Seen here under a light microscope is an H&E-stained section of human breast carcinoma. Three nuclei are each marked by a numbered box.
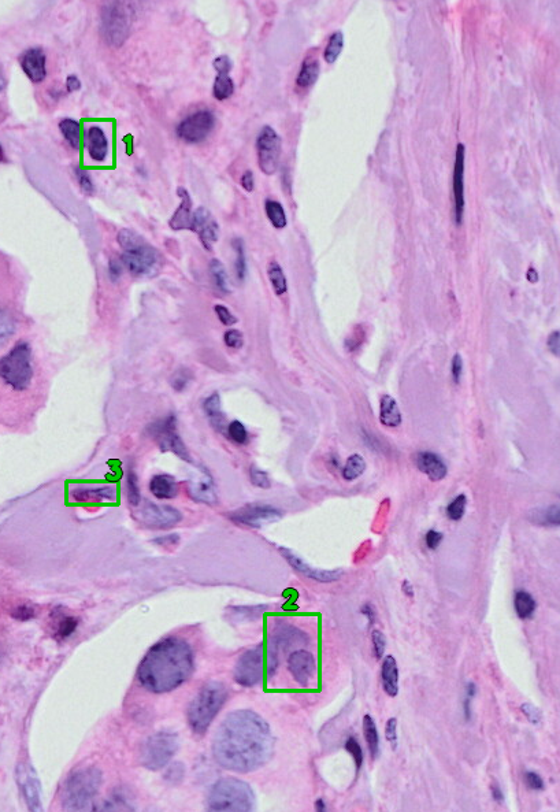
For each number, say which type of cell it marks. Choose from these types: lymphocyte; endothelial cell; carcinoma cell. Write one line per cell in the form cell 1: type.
cell 1: lymphocyte
cell 2: carcinoma cell
cell 3: endothelial cell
